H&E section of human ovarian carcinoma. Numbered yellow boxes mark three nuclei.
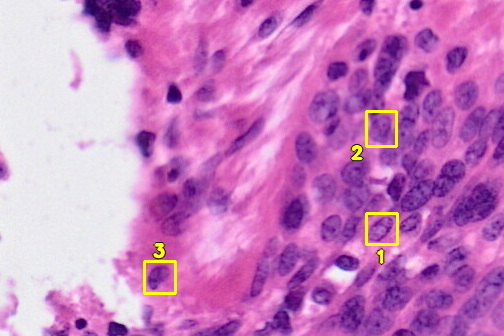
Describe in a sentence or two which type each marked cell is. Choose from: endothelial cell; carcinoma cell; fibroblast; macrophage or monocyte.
Cells 1 and 3 are macrophages or monocytes. Cell 2 is a carcinoma cell.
